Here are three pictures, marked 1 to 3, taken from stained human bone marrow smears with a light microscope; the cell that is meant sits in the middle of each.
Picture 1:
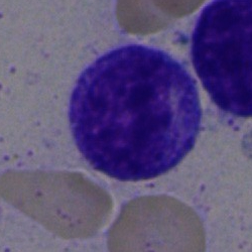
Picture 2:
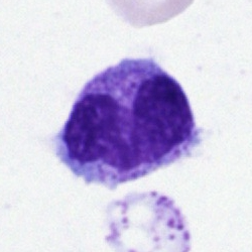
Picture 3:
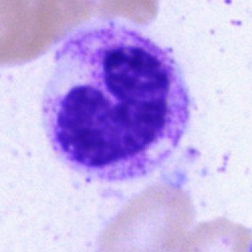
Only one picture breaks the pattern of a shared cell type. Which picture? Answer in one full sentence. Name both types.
Picture 3 differs, because its cell is a band neutrophil and the rest are metamyelocytes.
